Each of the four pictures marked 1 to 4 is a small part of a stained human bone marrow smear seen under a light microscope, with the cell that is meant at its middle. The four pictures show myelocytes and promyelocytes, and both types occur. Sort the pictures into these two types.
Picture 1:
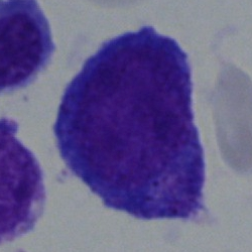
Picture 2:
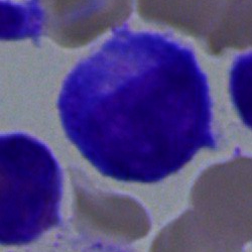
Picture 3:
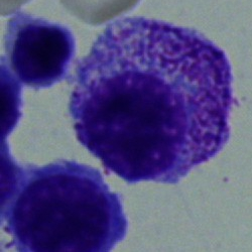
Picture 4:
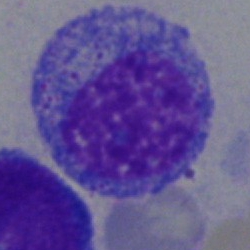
1: promyelocyte
2: promyelocyte
3: myelocyte
4: promyelocyte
